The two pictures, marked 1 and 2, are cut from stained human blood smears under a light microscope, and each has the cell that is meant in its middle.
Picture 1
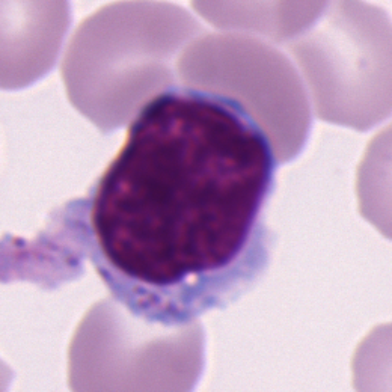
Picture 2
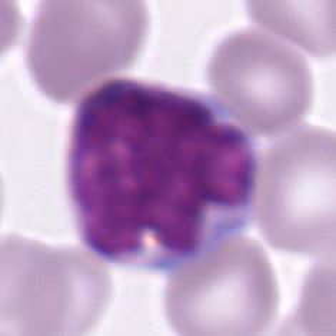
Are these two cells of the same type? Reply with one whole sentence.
Yes, both are large granular lymphocytes.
